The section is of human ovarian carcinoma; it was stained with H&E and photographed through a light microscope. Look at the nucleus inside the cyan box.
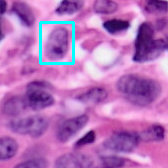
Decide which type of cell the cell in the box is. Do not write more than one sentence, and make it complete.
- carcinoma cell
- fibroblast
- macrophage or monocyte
For cell typing purposes, the cell in the box is a macrophage or monocyte.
